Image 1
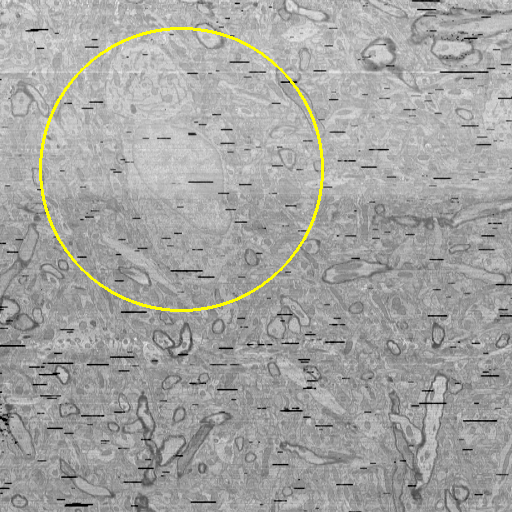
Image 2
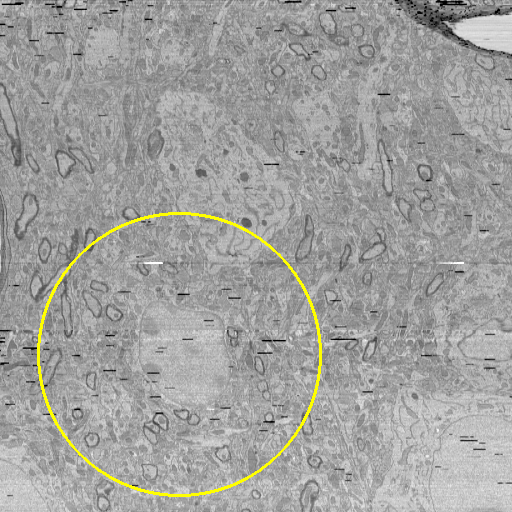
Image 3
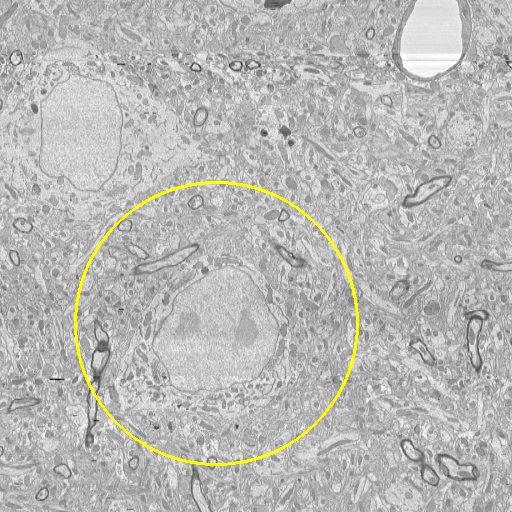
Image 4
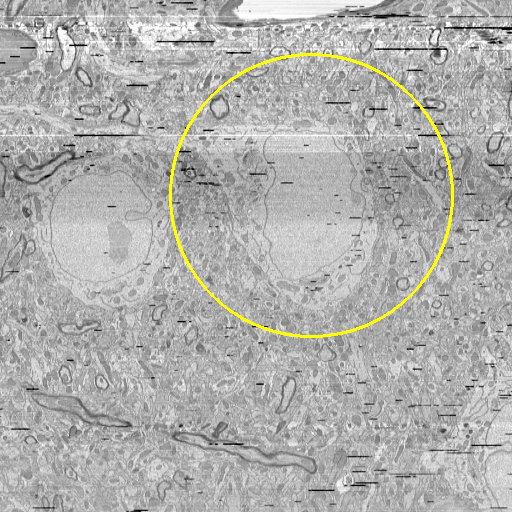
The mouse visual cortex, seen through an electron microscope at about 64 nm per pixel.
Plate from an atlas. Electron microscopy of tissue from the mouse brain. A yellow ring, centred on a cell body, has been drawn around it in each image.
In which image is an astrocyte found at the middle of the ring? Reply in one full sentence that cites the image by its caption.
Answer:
The requested cell is the one at the ring's centre in Image 2.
